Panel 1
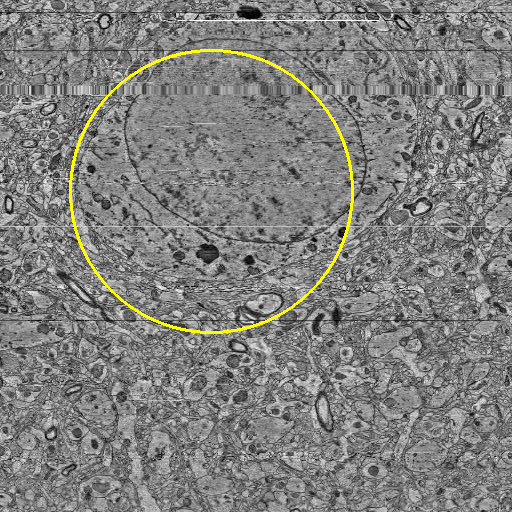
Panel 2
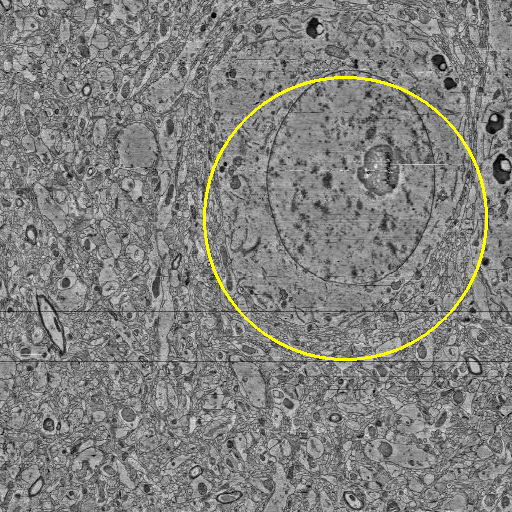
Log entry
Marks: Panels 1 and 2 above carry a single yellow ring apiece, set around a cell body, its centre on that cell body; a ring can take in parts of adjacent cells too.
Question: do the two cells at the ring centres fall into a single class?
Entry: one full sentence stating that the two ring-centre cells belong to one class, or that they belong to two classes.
The two ring-centre cells in Panels 1 and 2 belong to one class.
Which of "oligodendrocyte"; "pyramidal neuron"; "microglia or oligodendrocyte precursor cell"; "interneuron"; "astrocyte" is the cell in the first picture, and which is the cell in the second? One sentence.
Each of the ringed cells, first and second, is a pyramidal neuron.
